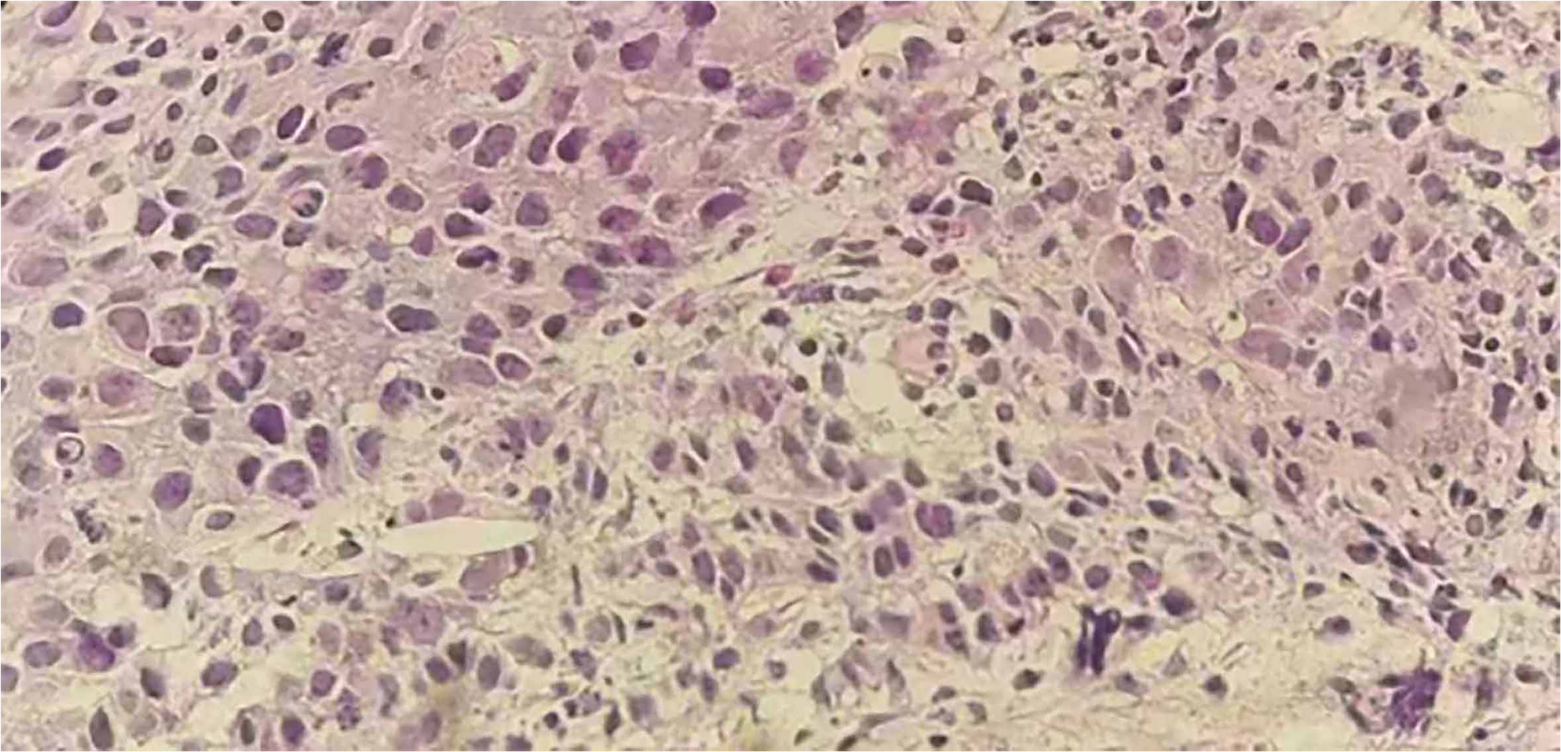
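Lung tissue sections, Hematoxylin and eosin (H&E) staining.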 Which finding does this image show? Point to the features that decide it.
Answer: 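Nuclei vary widely in size and shape. Many nuclei are large and darkly stained. That points to this answer: pronounced atypia of the cancer cells.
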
